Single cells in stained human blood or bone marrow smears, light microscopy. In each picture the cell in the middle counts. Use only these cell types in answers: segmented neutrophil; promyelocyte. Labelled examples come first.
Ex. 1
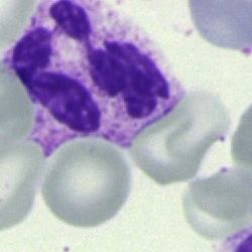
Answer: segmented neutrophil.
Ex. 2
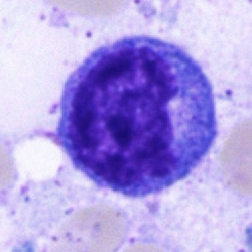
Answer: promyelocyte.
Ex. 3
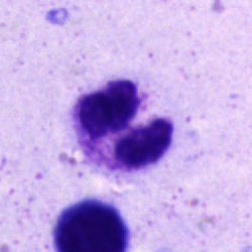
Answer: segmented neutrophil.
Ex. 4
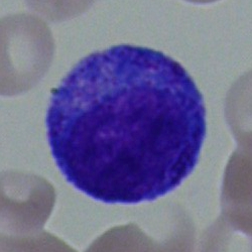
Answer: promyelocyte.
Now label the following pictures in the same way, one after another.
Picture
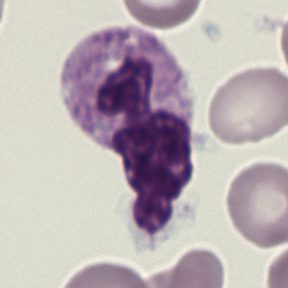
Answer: segmented neutrophil.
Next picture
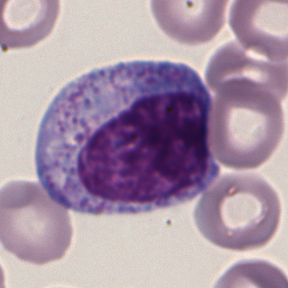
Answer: promyelocyte.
